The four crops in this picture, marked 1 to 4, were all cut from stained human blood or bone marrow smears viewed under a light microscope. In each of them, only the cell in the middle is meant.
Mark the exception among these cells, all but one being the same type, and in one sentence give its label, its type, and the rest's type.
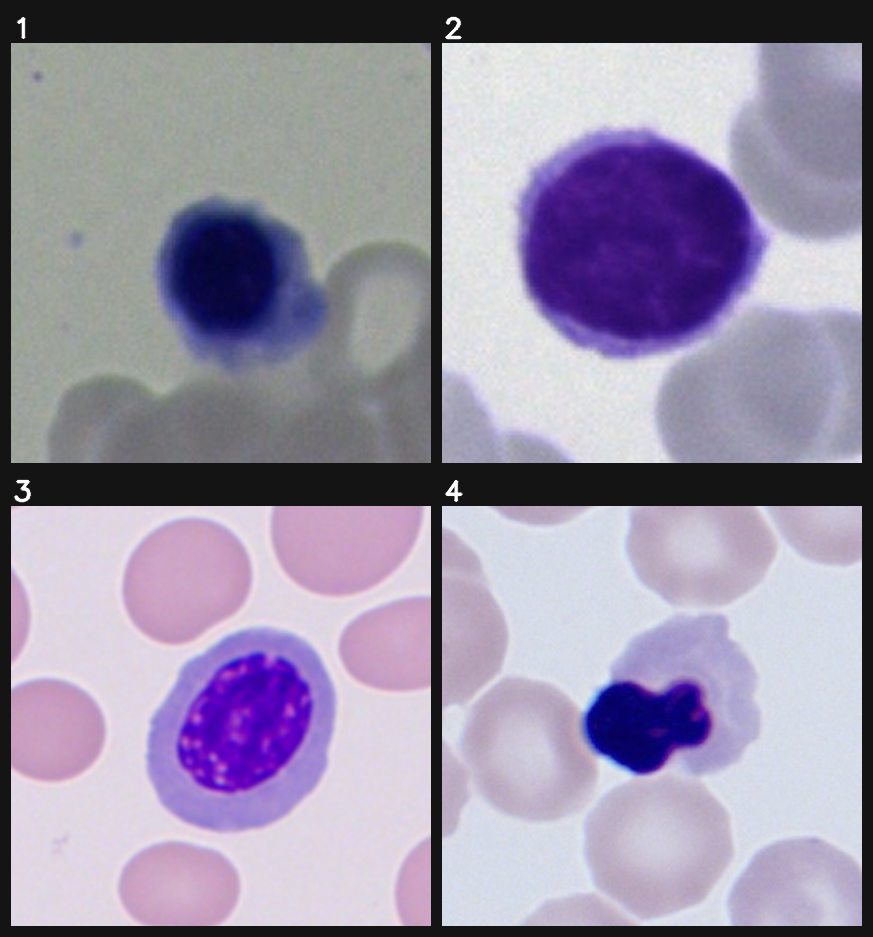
The crops all show erythroblasts, with the exception of crop 2, which shows a lymphocyte.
